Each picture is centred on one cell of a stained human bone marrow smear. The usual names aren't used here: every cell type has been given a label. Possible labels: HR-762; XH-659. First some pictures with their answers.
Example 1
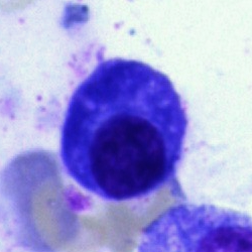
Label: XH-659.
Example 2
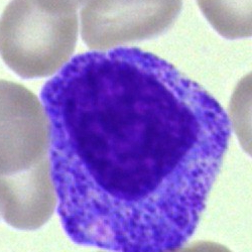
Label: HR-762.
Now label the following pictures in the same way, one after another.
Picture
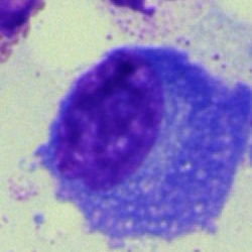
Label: XH-659.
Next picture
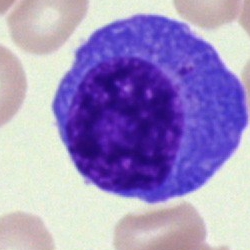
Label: XH-659.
